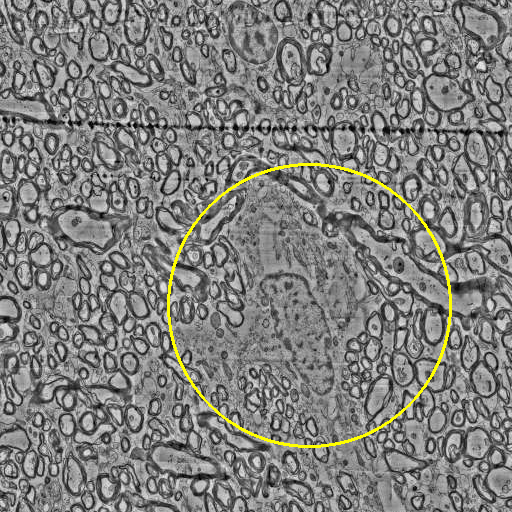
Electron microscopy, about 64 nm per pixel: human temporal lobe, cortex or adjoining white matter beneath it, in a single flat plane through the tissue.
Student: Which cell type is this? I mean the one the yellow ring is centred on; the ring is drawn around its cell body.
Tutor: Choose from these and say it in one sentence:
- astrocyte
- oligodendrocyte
The cell the ring is centred on is an astrocyte.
